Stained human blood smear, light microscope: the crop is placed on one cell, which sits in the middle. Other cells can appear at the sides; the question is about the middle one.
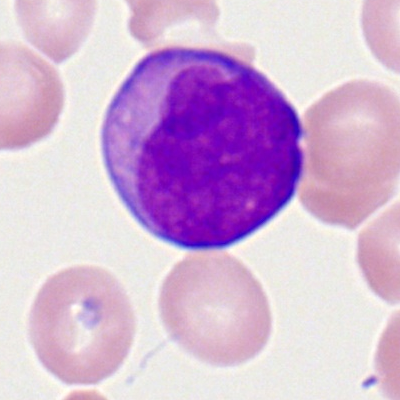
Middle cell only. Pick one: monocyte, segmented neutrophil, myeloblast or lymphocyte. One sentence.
The middle position in this crop is taken by a myeloblast.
